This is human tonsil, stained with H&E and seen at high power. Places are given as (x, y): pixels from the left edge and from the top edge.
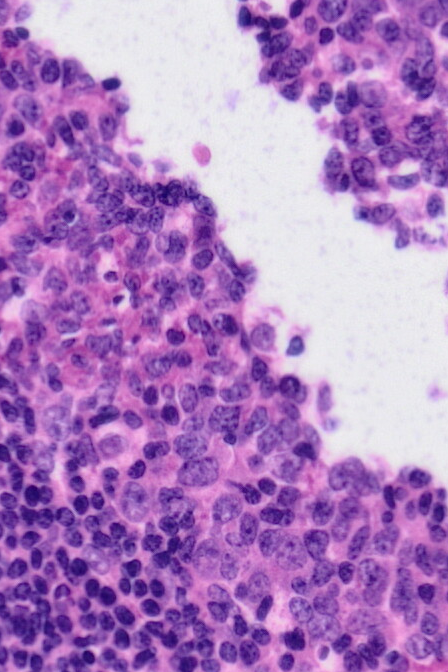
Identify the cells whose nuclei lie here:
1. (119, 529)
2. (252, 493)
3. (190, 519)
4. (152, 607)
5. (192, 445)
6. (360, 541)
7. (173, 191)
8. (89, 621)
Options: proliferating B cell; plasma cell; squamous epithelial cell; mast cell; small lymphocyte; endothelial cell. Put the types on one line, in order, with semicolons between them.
small lymphocyte; proliferating B cell; proliferating B cell; small lymphocyte; proliferating B cell; proliferating B cell; proliferating B cell; small lymphocyte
